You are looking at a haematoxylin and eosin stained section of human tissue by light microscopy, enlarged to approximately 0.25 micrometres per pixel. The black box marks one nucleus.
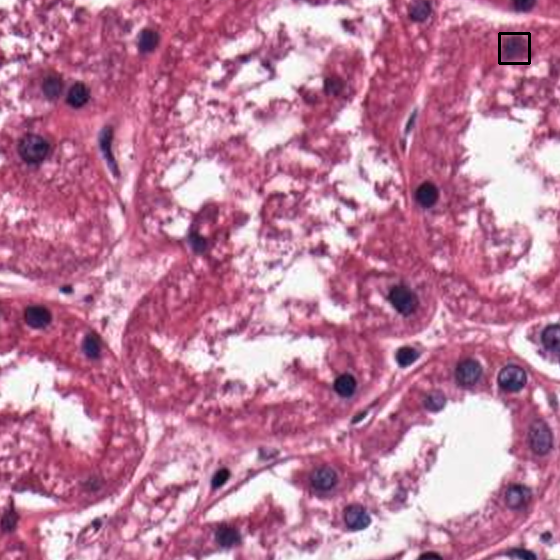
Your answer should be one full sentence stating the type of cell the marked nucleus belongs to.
The cell to which the marked nucleus belongs is a proximal tubule cell.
